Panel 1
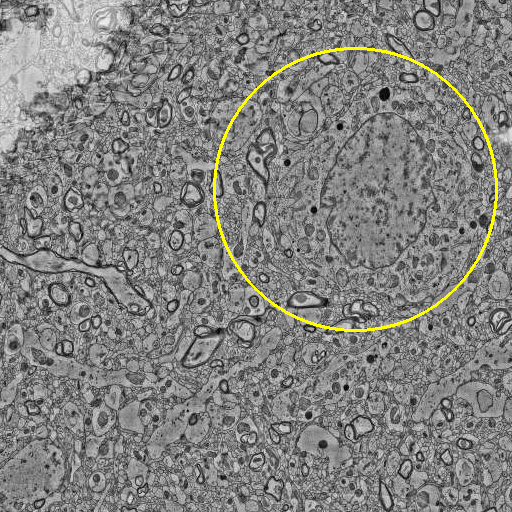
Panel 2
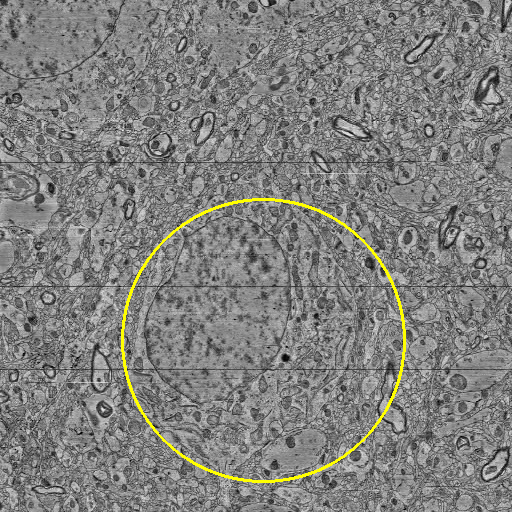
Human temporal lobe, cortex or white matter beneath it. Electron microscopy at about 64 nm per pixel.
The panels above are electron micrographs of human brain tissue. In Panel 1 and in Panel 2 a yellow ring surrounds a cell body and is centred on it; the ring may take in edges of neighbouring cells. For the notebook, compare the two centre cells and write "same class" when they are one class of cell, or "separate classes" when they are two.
same class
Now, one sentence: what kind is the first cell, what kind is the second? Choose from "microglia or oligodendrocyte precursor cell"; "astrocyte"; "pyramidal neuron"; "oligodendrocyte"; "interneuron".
In both pictures the ring is centred on an interneuron.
